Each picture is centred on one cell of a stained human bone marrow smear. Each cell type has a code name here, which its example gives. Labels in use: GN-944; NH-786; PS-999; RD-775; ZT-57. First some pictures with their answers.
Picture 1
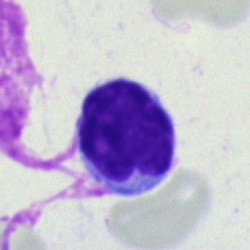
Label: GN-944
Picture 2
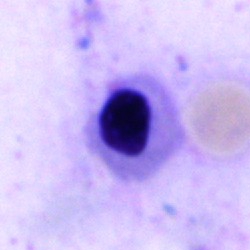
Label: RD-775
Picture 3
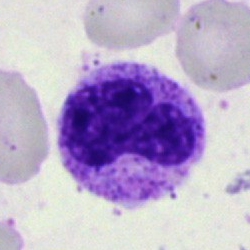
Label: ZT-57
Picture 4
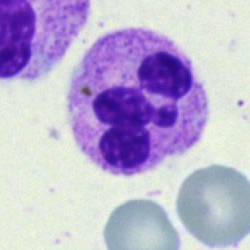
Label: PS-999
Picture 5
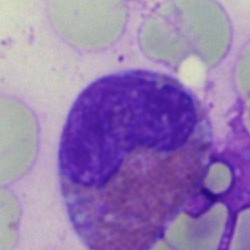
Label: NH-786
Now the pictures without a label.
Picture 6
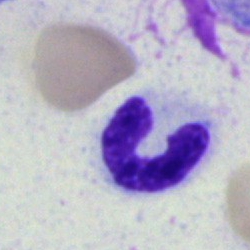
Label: ZT-57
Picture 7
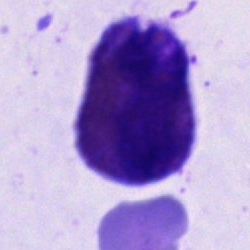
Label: NH-786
